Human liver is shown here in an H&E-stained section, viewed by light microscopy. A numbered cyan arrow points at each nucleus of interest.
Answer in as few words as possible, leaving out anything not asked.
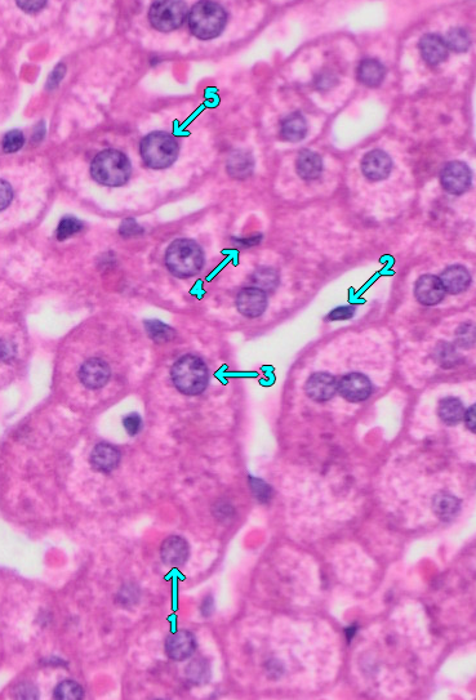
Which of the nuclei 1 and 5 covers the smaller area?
1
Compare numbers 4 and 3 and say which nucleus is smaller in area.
4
